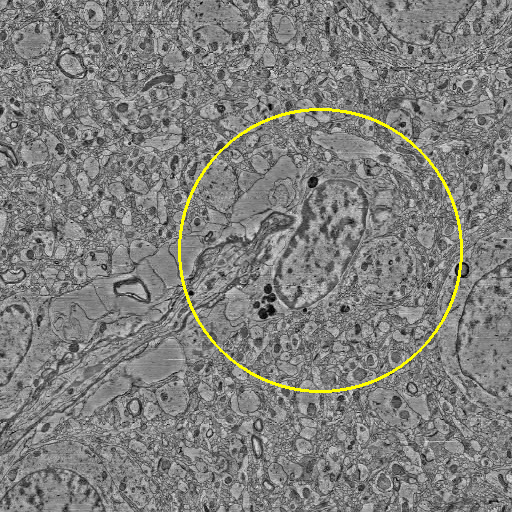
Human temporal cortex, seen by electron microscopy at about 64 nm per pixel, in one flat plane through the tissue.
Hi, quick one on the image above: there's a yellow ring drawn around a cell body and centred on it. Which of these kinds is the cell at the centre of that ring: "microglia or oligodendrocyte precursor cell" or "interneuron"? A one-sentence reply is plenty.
The cell at the centre of the ring is a microglial cell or oligodendrocyte precursor cell.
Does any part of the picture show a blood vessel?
Yes, a blood vessel can be seen.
